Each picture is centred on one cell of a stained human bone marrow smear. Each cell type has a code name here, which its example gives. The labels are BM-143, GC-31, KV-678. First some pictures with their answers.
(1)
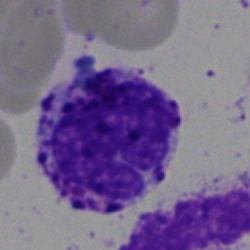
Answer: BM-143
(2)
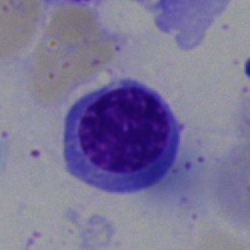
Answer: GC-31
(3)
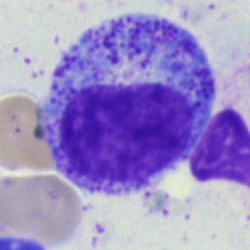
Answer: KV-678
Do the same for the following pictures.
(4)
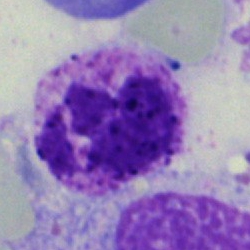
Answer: BM-143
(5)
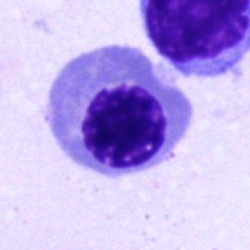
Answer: GC-31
